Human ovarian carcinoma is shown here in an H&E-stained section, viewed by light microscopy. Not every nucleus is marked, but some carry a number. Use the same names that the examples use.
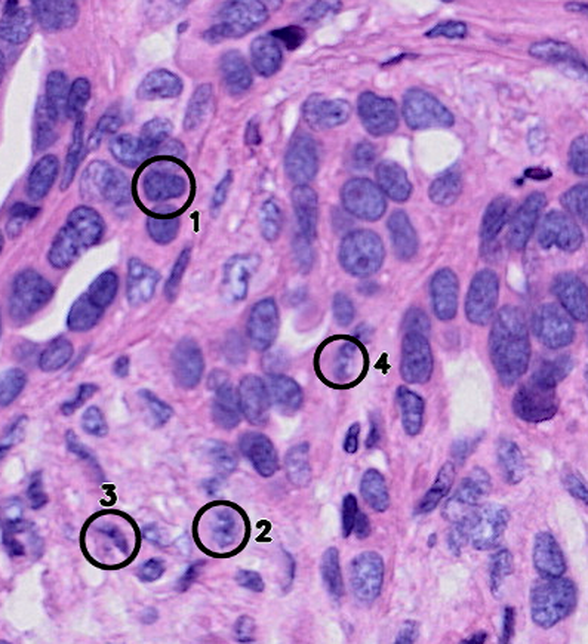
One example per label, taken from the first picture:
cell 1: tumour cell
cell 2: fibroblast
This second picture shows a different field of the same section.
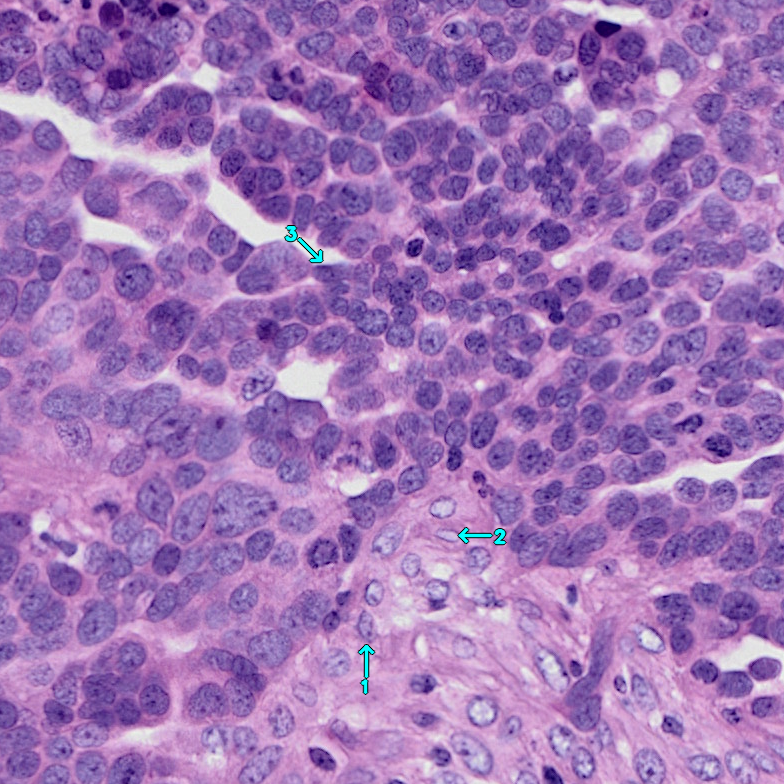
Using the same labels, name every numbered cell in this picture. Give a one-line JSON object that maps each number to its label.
{"1": "fibroblast", "2": "fibroblast", "3": "tumour cell"}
